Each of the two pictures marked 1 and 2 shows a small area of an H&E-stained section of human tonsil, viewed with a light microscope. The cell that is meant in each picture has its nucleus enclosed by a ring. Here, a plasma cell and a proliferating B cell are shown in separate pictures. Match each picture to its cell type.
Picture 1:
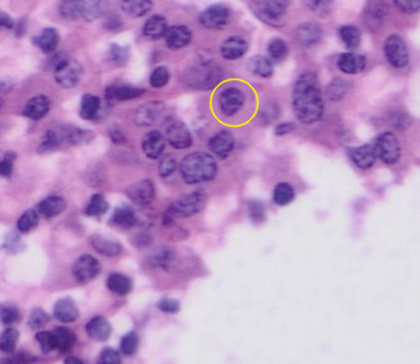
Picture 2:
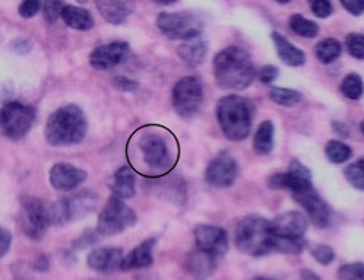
1: plasma cell
2: proliferating B cell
